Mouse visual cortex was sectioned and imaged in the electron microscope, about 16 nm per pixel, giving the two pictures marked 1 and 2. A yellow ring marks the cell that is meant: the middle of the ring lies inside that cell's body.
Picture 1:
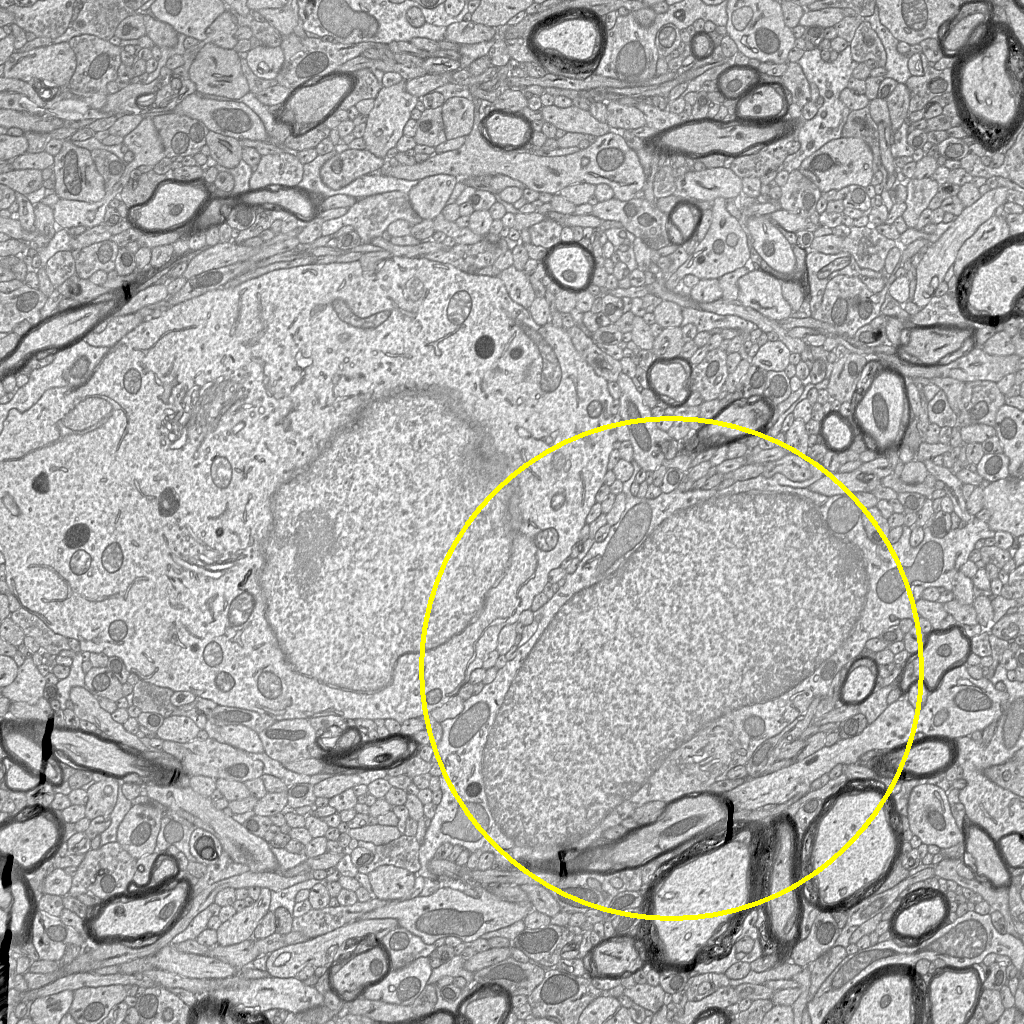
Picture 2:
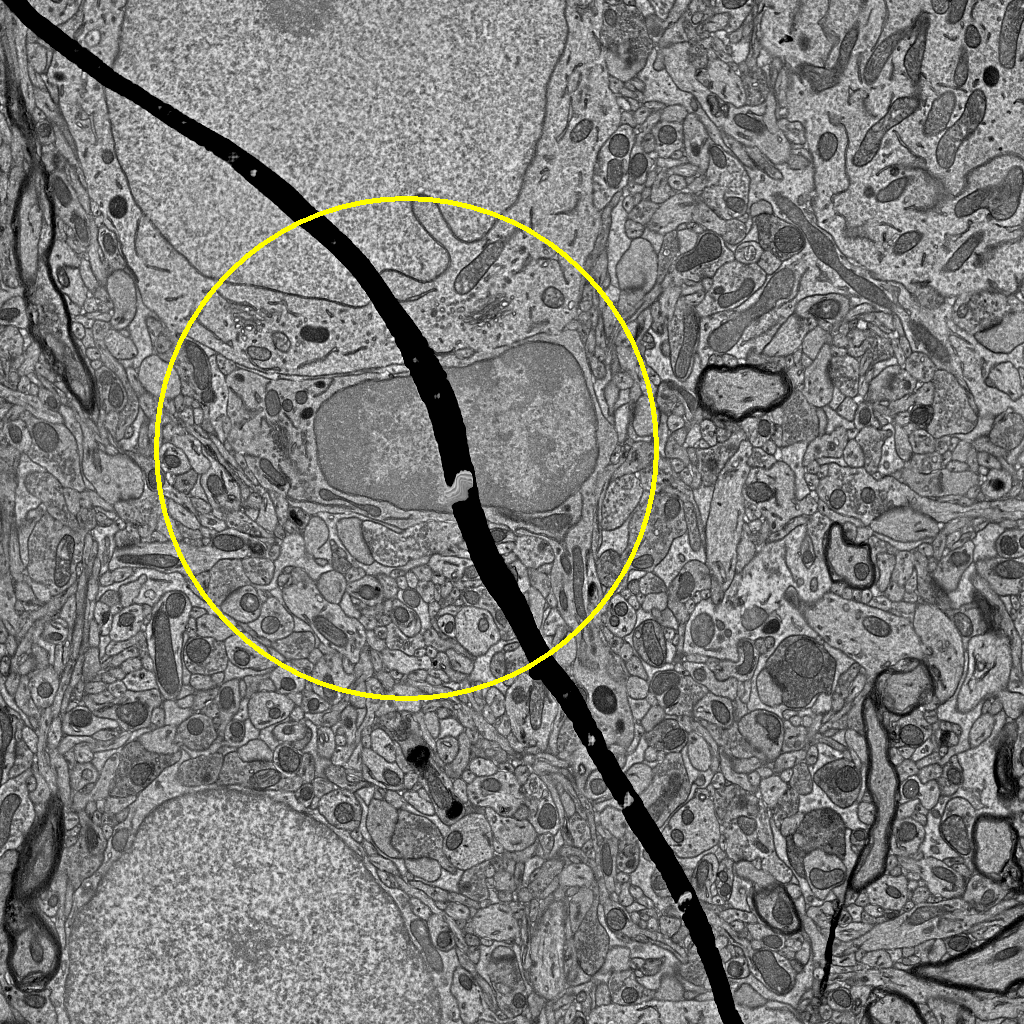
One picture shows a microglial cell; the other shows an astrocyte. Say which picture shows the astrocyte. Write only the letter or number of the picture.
1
